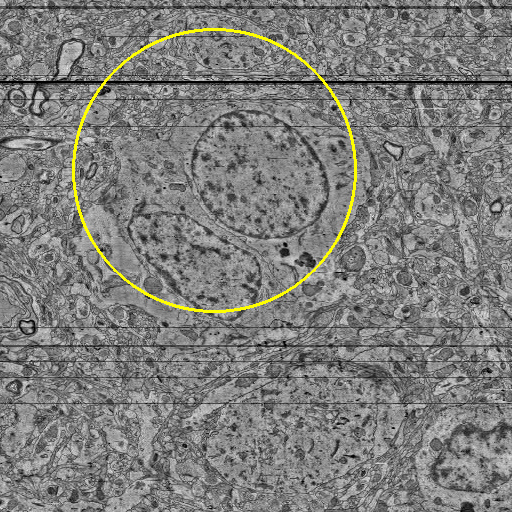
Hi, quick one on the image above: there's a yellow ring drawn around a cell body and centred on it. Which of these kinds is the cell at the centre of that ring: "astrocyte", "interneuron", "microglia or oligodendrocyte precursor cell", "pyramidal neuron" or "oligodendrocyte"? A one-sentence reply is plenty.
The cell at the centre of the ring is an astrocyte.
